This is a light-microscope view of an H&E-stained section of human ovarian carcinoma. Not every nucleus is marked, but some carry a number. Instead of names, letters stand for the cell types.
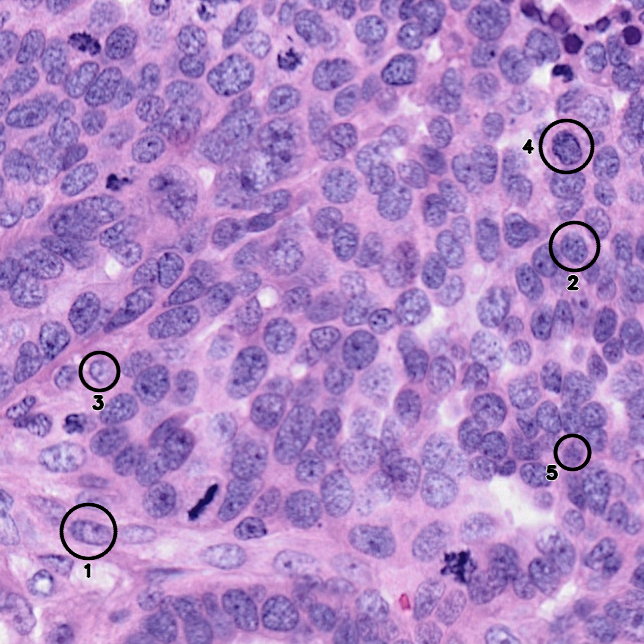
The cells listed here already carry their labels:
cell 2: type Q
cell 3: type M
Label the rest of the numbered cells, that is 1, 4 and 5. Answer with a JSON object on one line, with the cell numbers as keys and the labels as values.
{"1": "type M", "4": "type Q", "5": "type Q"}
